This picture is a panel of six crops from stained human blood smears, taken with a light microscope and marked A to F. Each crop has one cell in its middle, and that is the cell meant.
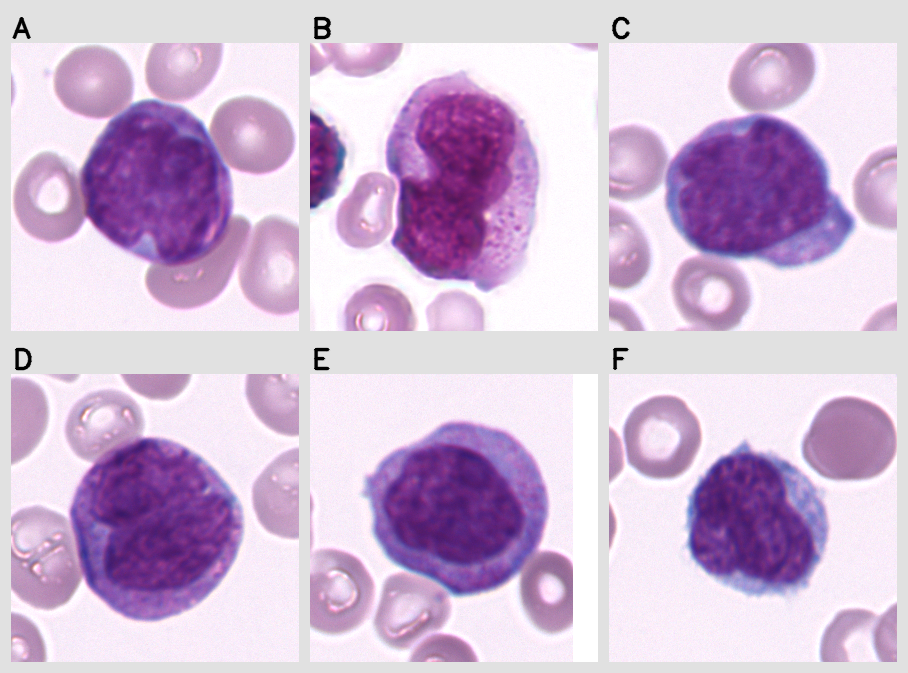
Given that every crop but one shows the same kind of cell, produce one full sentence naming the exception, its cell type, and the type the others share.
Crop F is the one that is a monocyte, and the other crops all show atypical promyelocytes.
